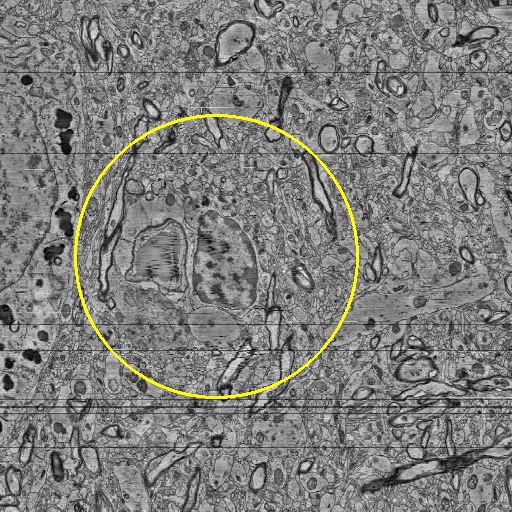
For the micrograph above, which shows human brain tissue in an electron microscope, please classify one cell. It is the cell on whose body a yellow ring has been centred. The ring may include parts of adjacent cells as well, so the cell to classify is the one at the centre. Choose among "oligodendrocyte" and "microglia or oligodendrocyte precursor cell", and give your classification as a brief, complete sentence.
I classify this cell as a microglial cell or oligodendrocyte precursor cell.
